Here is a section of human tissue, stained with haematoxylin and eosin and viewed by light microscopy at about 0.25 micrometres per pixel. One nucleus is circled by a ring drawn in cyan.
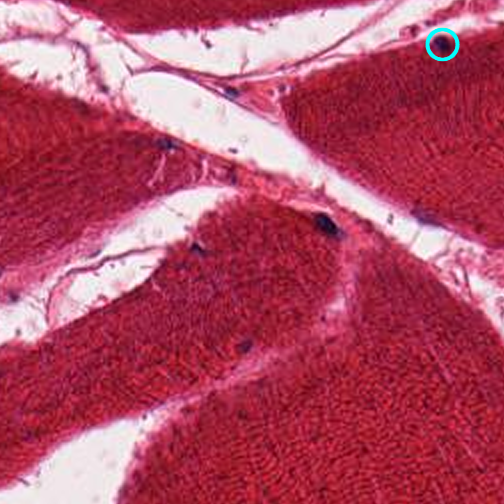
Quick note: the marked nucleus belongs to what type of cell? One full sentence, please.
The marked nucleus is identified as belonging to a skeletal muscle fibre.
